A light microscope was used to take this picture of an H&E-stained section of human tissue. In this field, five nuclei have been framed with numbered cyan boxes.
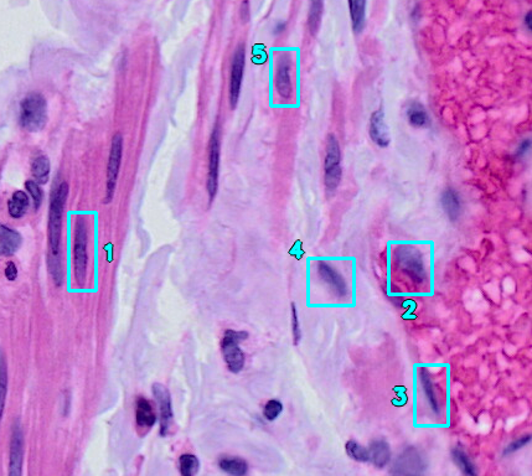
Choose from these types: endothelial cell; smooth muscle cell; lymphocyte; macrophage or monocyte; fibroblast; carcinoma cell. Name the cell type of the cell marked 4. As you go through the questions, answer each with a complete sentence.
Denoted by the label 4 in the section is a fibroblast.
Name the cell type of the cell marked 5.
Identified by the number 5, the cell is a smooth muscle cell.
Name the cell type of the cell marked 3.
The identity of cell 3 is that of an endothelial cell.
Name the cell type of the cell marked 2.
Classified as an endothelial cell is the cell with the number 2.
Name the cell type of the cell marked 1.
The cell identified by the number 1 is a smooth muscle cell.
